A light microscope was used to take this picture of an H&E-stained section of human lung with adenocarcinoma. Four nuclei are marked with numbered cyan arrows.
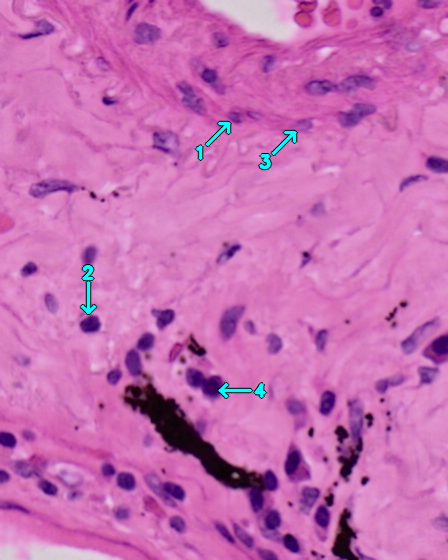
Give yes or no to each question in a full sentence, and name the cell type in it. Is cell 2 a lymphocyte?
Yes, the cell identified as number 2 is a lymphocyte.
